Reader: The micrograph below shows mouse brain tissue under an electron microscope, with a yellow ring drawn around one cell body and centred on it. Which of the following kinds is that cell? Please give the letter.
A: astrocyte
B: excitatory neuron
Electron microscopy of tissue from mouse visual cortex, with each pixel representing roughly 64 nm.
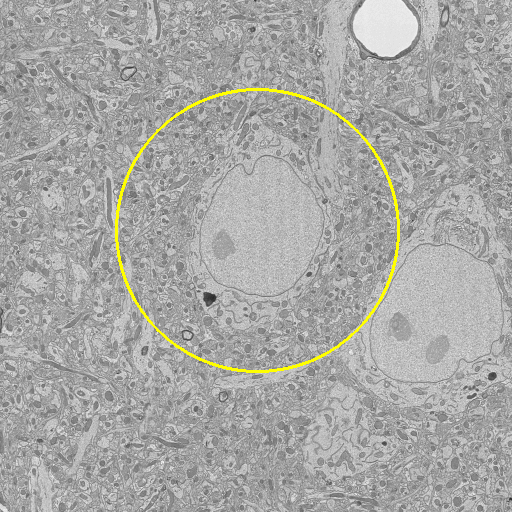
B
